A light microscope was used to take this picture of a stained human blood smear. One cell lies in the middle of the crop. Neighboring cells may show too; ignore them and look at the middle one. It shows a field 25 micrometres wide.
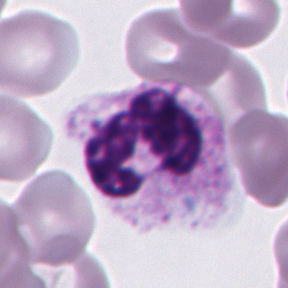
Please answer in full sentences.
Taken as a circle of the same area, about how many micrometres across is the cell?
It measures about 13 micrometres across.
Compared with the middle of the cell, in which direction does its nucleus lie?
The nucleus is pushed toward the upper left of the cell.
